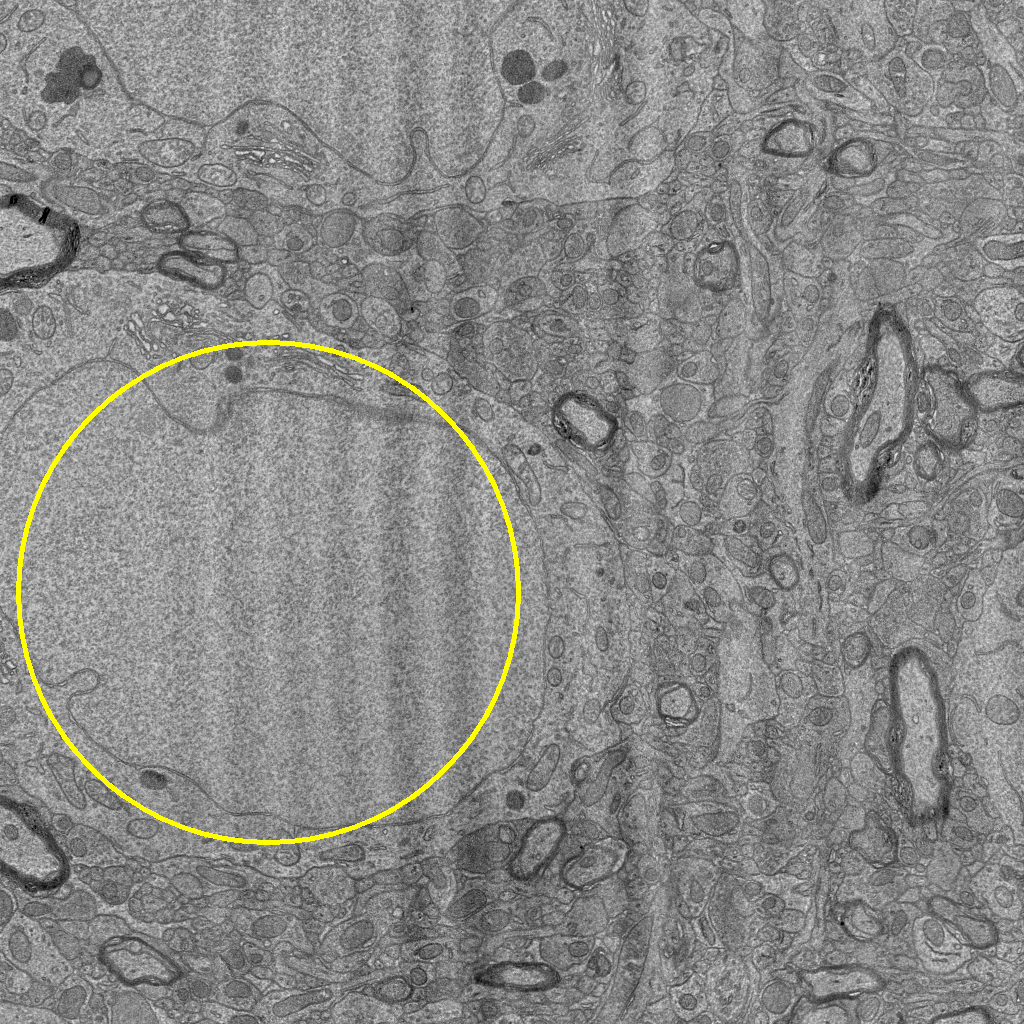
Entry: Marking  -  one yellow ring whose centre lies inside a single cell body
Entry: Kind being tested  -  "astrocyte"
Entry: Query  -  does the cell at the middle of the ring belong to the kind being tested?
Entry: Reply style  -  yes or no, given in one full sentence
No, the cell at the middle of the ring in the picture belongs to a different kind.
